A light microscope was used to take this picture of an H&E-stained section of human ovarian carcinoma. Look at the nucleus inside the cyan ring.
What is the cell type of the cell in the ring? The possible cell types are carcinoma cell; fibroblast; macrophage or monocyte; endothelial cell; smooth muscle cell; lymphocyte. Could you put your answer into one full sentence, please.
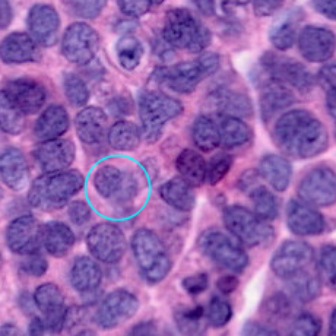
Considered by cell type, the cell in the ring is a carcinoma cell.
